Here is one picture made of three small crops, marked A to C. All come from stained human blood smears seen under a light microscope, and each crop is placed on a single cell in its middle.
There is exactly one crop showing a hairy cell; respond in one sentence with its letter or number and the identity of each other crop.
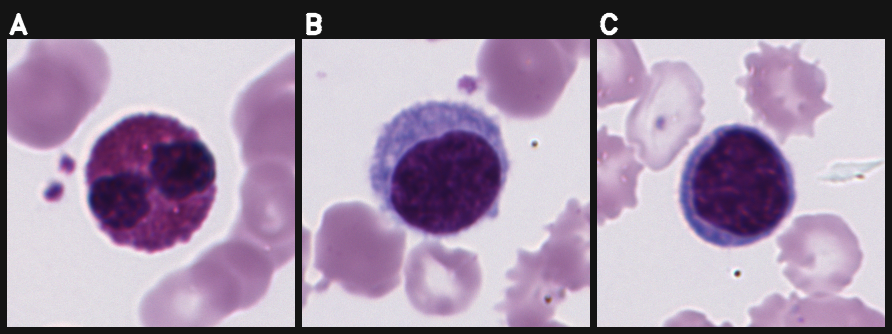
Crop B is classified as a hairy cell, whereas crop A is an eosinophil and crop C is a typical lymphocyte.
